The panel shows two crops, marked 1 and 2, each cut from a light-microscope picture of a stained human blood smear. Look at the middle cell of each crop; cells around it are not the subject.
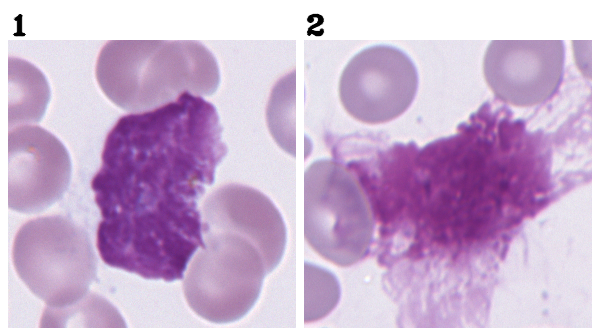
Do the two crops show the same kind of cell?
yes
